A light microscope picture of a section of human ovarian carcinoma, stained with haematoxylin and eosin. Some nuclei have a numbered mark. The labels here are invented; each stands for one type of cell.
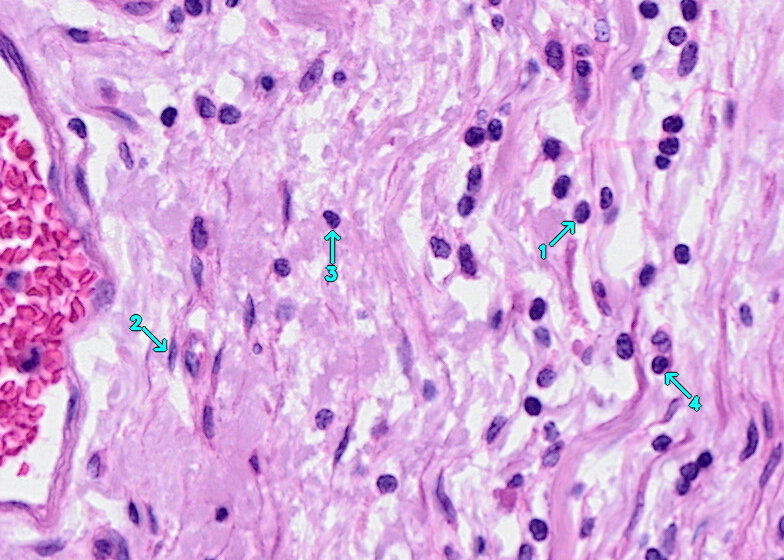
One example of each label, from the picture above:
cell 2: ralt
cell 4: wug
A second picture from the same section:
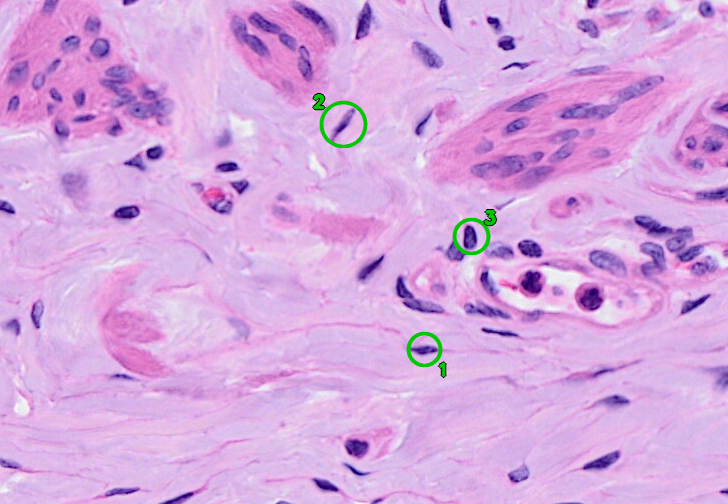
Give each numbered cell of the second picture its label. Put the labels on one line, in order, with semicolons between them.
ralt; ralt; wug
